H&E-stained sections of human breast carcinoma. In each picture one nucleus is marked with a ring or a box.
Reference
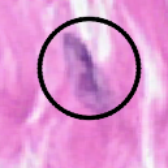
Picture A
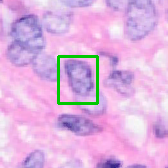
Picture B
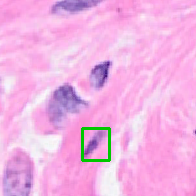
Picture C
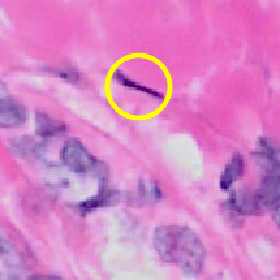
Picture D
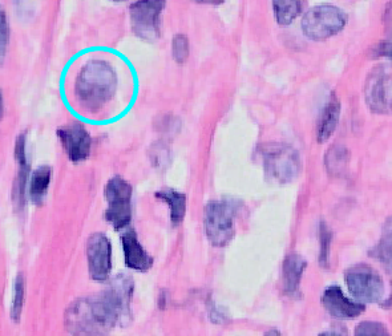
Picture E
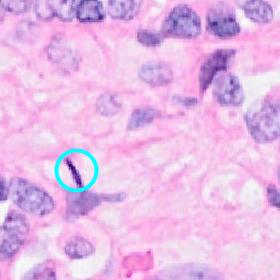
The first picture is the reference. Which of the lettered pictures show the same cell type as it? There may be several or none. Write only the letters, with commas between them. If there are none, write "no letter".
B, C, E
